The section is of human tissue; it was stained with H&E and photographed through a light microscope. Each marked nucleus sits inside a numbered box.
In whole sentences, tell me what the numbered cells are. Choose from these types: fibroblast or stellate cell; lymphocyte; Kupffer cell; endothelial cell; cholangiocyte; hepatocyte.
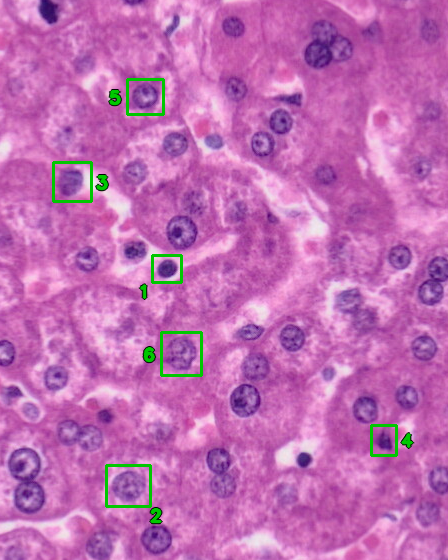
Cell 1 is a lymphocyte. Cells 2, 5 and 6 are hepatocytes. Cell 3 is an endothelial cell. Cell 4 is a fibroblast or stellate cell.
